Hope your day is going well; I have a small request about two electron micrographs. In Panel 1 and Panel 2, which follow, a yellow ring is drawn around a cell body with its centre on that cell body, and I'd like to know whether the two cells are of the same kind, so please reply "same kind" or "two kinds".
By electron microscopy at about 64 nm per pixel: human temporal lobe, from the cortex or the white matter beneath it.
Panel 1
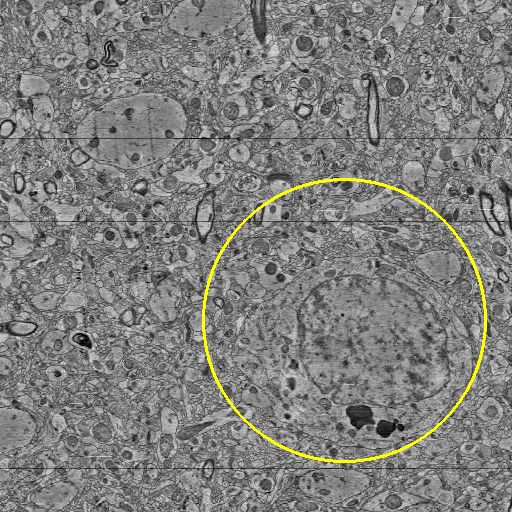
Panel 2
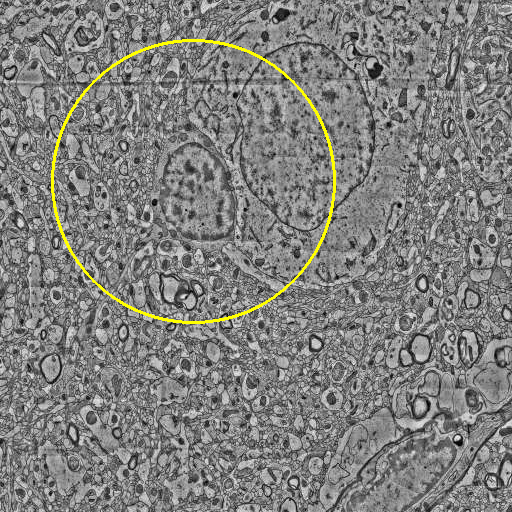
two kinds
